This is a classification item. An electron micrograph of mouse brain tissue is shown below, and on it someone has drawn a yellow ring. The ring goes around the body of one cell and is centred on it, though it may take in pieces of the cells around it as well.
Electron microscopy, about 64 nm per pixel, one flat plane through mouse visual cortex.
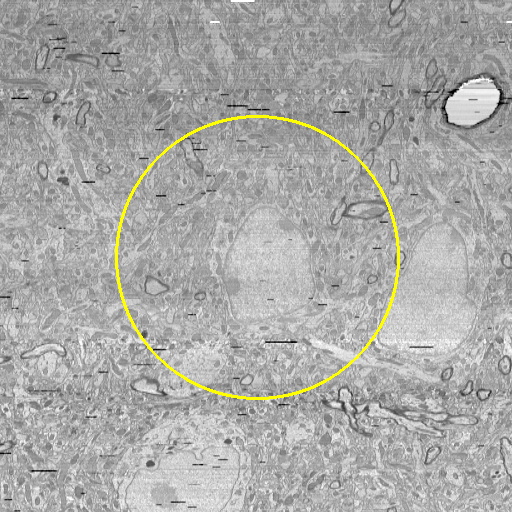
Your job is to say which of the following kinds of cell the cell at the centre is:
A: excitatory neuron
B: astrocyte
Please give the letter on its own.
B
